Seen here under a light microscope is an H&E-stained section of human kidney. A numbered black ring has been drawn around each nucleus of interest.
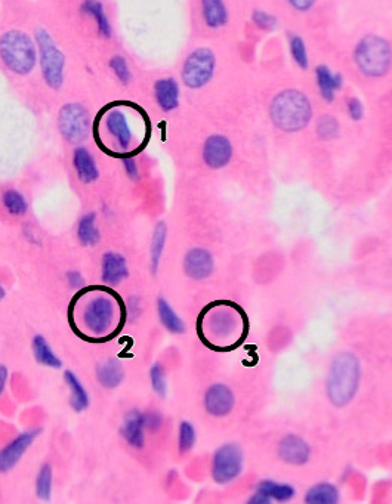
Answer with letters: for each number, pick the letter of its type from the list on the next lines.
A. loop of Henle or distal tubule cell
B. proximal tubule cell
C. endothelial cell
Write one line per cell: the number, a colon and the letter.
1: C
2: A
3: B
